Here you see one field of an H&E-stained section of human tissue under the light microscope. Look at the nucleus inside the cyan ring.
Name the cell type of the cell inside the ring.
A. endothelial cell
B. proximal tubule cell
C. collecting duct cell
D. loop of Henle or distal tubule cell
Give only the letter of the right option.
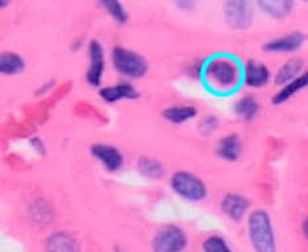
C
